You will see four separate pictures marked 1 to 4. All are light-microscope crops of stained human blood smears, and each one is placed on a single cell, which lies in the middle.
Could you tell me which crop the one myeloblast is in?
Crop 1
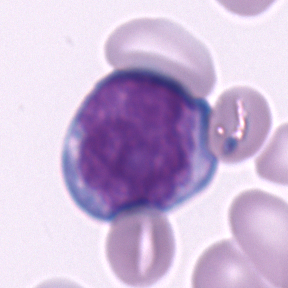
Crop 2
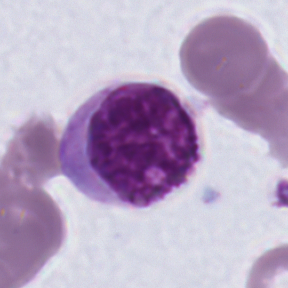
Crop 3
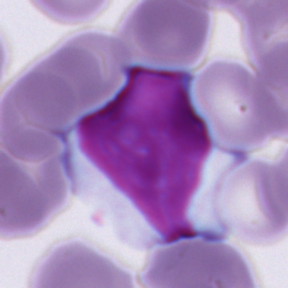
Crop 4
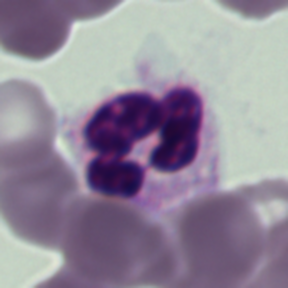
1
